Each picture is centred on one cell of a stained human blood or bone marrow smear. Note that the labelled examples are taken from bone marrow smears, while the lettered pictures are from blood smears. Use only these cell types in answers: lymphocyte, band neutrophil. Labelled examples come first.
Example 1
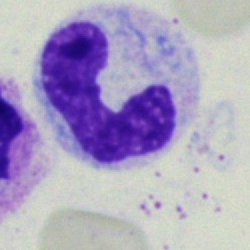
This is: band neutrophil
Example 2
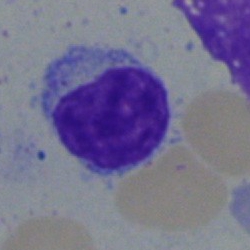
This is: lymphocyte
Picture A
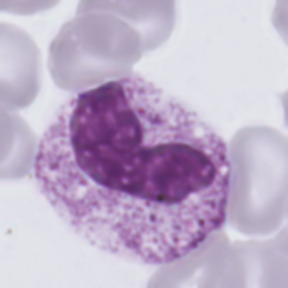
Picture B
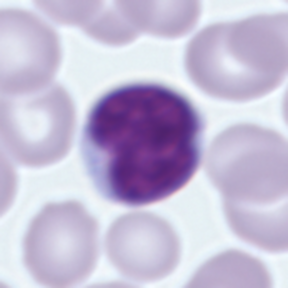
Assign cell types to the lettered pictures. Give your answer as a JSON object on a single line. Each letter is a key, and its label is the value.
{"A": "band neutrophil", "B": "lymphocyte"}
